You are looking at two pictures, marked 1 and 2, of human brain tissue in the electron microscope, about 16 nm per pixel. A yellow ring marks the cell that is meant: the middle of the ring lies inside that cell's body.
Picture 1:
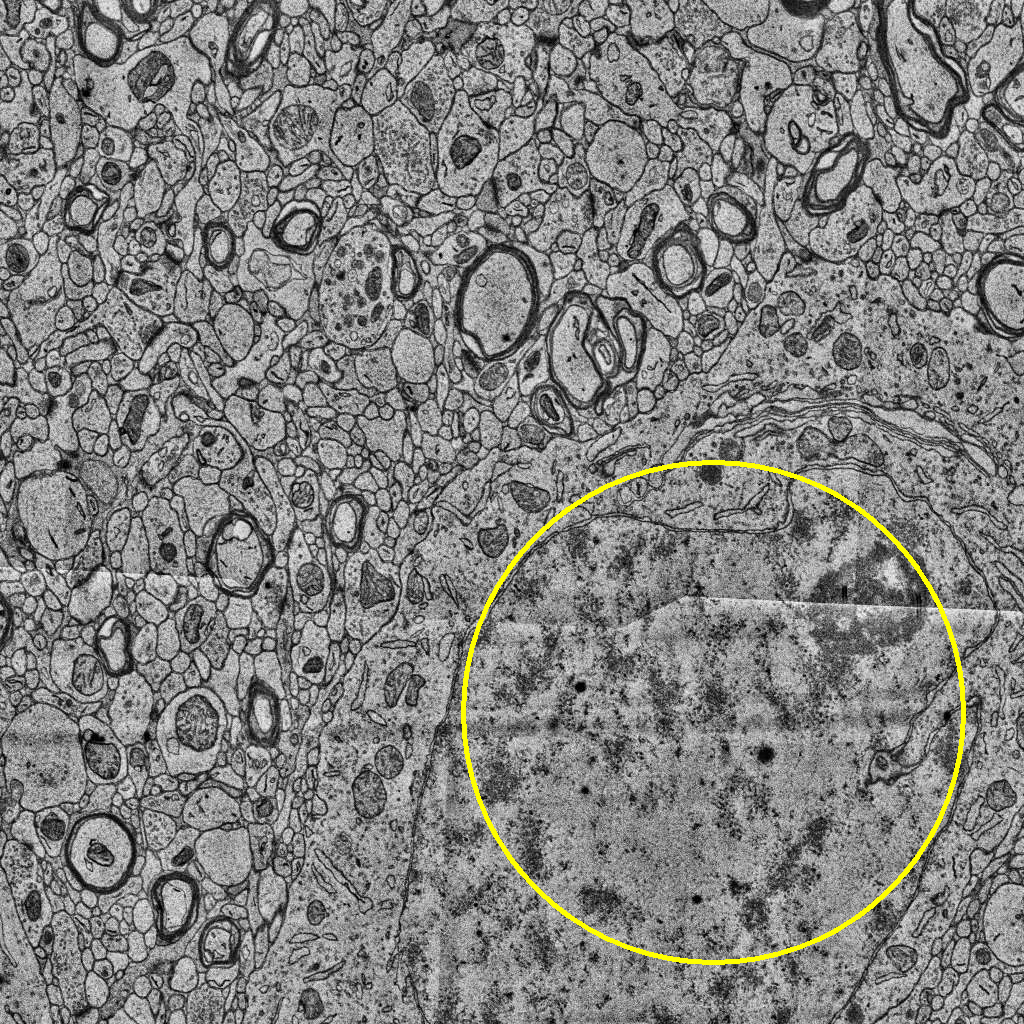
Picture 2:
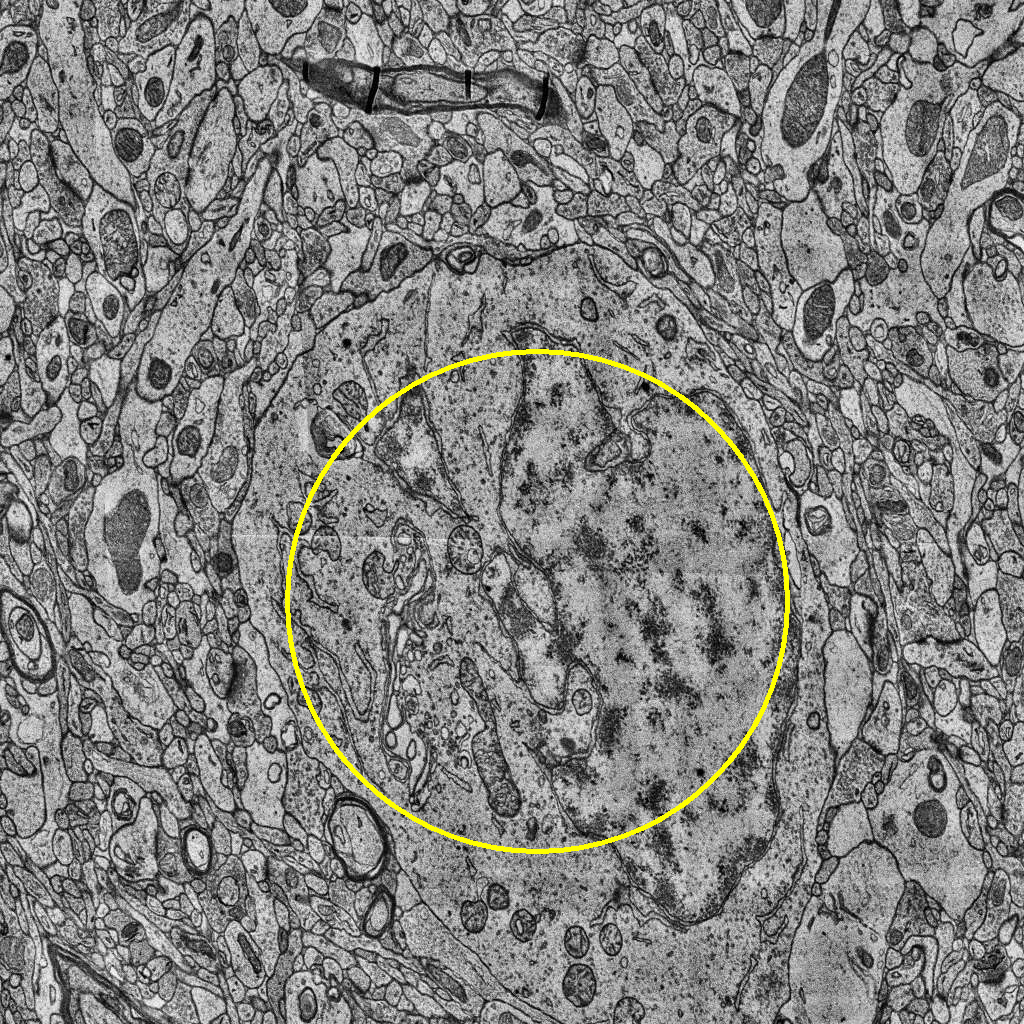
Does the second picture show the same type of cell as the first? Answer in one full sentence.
Yes, both cells are interneurons.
